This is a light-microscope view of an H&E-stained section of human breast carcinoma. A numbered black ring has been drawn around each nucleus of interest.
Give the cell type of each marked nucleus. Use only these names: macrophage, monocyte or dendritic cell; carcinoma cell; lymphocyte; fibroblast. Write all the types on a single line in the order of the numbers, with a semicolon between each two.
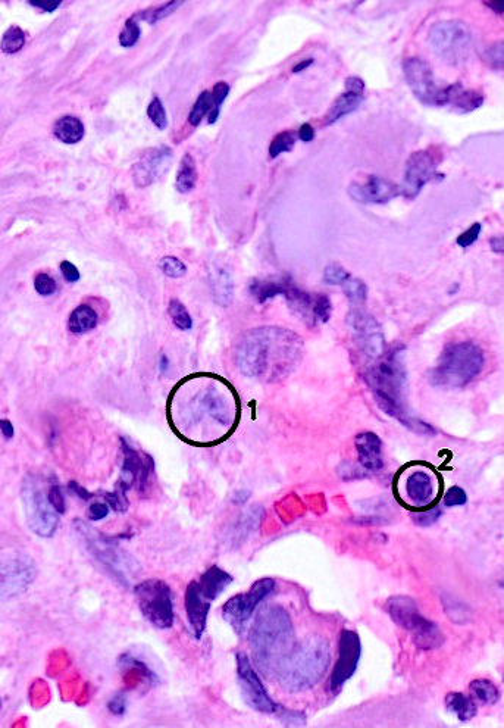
fibroblast; lymphocyte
